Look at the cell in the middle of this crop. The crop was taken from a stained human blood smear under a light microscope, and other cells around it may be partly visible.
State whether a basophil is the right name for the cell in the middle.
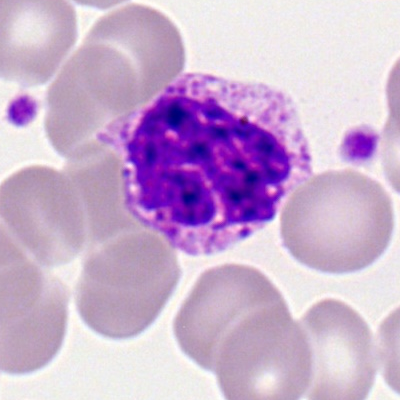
yes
